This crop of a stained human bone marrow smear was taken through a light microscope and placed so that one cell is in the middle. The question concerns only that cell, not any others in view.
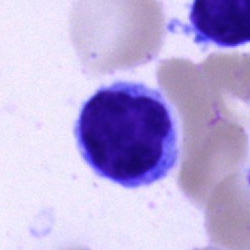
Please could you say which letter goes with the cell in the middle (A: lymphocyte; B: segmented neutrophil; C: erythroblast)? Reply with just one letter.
A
